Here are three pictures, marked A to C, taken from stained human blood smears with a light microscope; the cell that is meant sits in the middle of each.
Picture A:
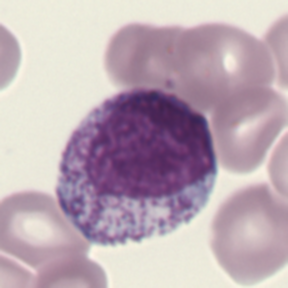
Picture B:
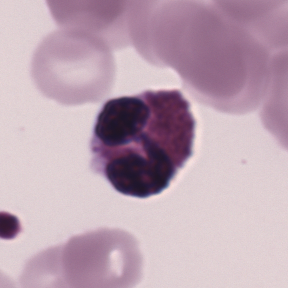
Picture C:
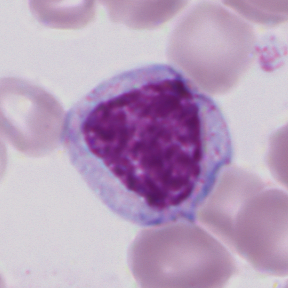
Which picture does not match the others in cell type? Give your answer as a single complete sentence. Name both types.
Picture B differs, because its cell is an eosinophil and the rest are myelocytes.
